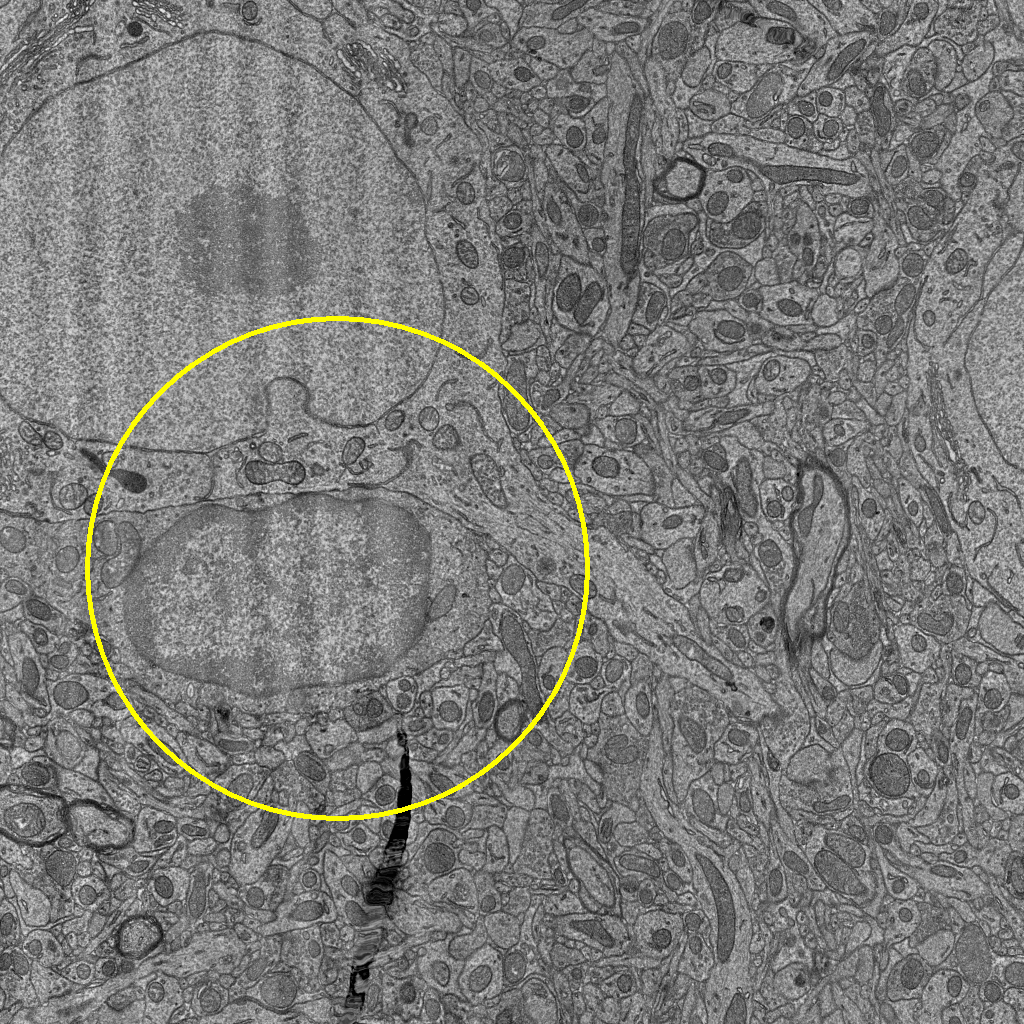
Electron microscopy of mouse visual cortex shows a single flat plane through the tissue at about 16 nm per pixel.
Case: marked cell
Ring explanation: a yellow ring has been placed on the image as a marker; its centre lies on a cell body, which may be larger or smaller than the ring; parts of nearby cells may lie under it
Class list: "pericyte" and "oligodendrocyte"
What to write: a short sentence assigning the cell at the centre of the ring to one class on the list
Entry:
The cell at the ring's centre is an oligodendrocyte.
